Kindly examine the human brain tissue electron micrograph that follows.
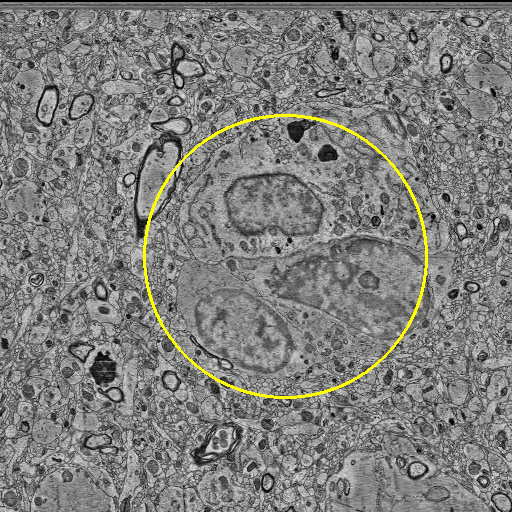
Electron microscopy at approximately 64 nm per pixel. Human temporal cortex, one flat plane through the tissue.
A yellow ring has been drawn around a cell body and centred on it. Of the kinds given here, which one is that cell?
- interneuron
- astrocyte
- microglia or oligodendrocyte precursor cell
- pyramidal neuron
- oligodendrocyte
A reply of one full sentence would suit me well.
The micrograph's ringed cell, the one at the ring's centre, is an oligodendrocyte.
